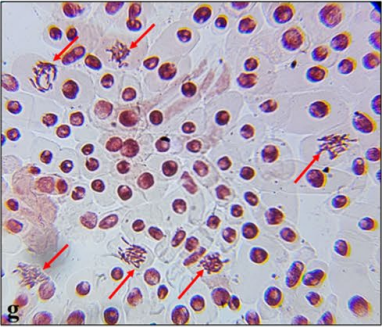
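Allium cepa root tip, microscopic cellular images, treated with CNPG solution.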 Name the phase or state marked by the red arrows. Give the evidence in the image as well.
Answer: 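Dividing cells. Each arrow points to a cell with separate, condensed chromosomes. The other cells carry round, compact nuclei.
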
